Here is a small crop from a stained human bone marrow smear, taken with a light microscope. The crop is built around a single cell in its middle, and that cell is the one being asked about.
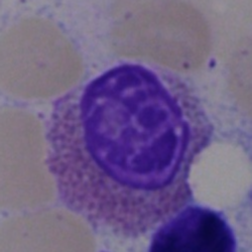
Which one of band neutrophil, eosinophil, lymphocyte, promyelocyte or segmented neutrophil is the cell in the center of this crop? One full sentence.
The cell in the exact centre of the crop is an eosinophil.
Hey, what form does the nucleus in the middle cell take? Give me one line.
The cell carries one compact nucleus shaped round, oval or like a kidney.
